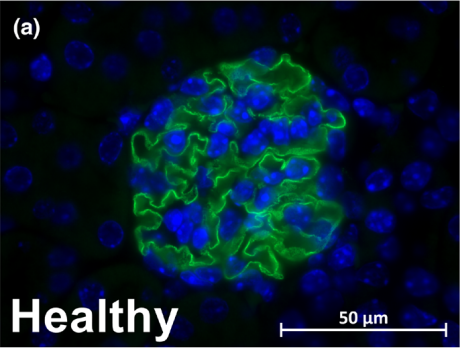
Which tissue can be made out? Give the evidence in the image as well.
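Wavy green lines trace looping, convoluted capillary-like contours within the tuft. Blue nuclei are crowded inside the tuft and surrounded by nuclei of the neighbouring tissue.
Hence: glomeruli.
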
